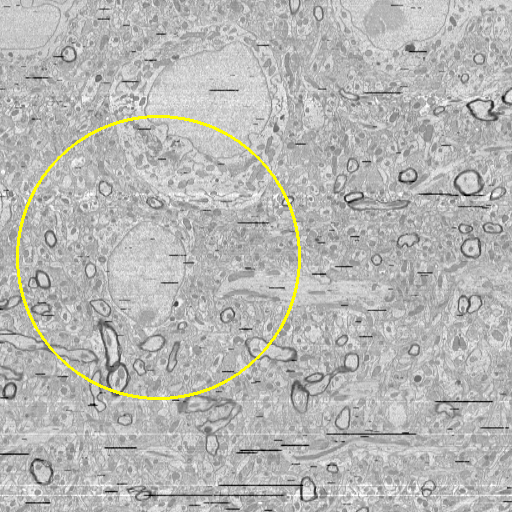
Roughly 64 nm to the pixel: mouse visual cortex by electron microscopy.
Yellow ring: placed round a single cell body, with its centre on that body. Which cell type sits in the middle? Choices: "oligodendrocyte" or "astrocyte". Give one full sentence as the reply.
It is an astrocyte whose cell body sits at the centre of the yellow ring.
